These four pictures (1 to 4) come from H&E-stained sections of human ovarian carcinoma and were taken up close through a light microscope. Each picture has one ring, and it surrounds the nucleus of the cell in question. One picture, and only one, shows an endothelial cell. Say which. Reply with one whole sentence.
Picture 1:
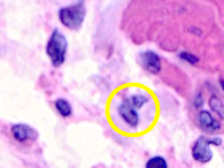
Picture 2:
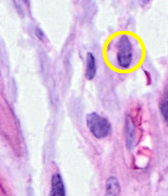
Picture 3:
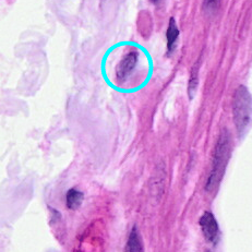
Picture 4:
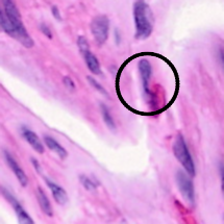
It is picture 4 that shows the endothelial cell.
